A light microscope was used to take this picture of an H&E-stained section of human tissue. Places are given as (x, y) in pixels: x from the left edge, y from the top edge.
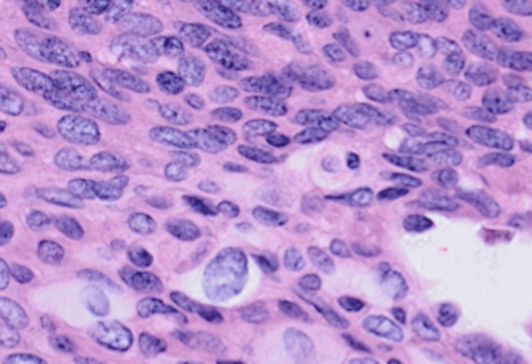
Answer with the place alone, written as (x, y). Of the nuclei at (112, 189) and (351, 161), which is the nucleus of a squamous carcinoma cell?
(112, 189)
